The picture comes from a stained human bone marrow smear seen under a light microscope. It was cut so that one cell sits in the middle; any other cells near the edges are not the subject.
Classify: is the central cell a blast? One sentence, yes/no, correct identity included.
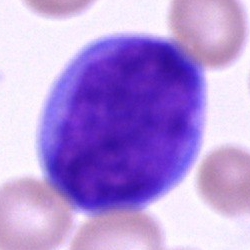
Yes, the cell shown in the middle is a blast.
